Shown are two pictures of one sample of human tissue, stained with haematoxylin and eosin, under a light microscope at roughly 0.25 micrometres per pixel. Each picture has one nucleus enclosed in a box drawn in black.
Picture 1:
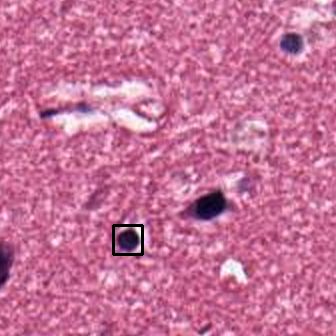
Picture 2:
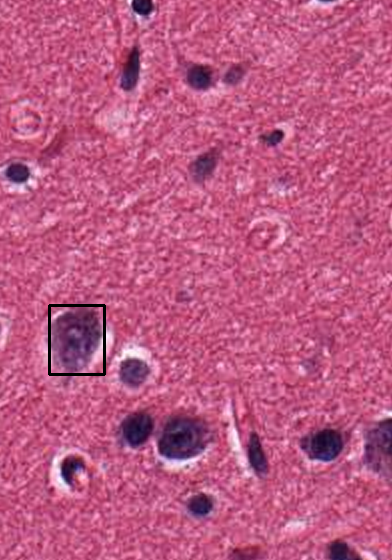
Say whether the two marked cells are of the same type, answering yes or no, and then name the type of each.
No, the first is an oligodendrocyte and the second a neuron.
